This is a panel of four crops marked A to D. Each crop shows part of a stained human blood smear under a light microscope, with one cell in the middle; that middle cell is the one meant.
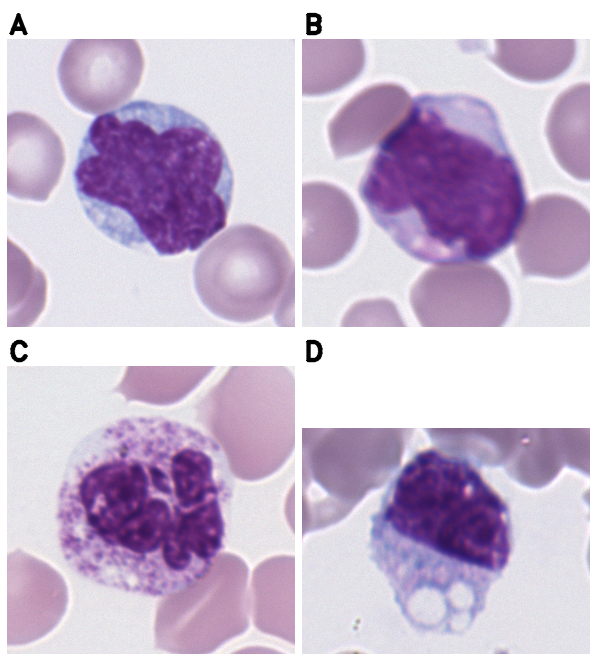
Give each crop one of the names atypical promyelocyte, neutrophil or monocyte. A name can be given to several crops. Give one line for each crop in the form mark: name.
A: monocyte
B: atypical promyelocyte
C: neutrophil
D: monocyte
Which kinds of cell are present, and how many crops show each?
monocyte: 2
atypical promyelocyte: 1
neutrophil: 1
